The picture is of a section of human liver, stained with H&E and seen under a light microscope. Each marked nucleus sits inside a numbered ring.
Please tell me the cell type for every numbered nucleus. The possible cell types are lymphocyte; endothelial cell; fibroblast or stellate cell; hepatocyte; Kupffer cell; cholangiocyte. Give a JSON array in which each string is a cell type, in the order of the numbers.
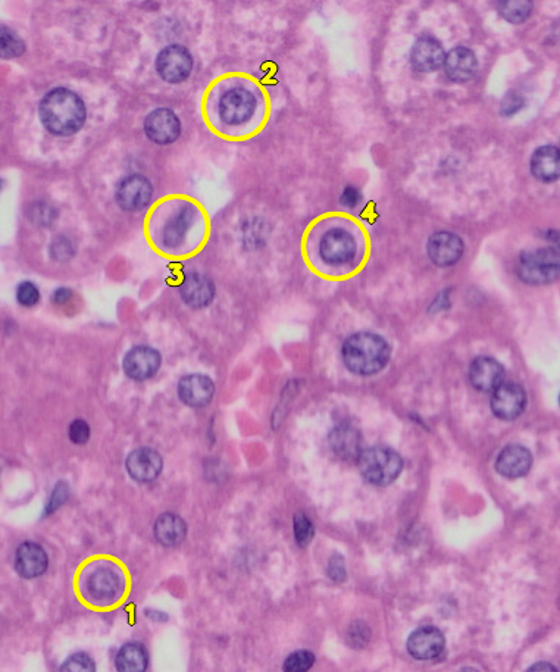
["hepatocyte", "hepatocyte", "Kupffer cell", "hepatocyte"]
